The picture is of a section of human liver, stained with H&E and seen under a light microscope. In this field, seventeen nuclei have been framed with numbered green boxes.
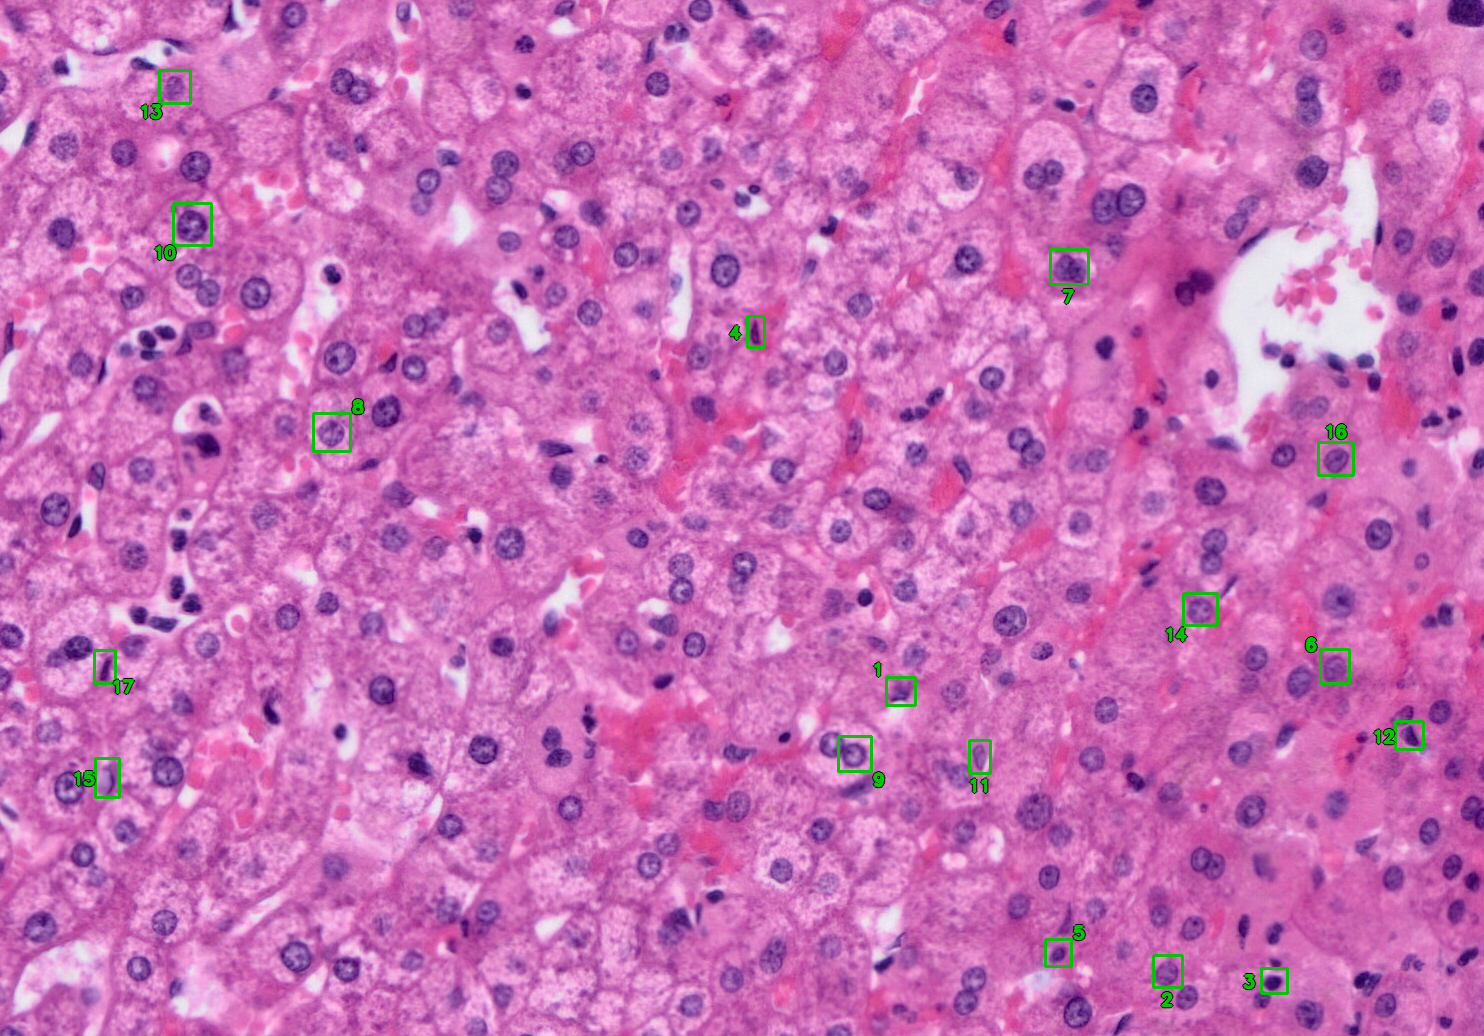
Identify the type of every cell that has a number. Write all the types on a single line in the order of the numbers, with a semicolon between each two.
endothelial cell; hepatocyte; lymphocyte; endothelial cell; lymphocyte; hepatocyte; hepatocyte; hepatocyte; hepatocyte; hepatocyte; Kupffer cell; fibroblast or stellate cell; hepatocyte; hepatocyte; endothelial cell; hepatocyte; fibroblast or stellate cell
